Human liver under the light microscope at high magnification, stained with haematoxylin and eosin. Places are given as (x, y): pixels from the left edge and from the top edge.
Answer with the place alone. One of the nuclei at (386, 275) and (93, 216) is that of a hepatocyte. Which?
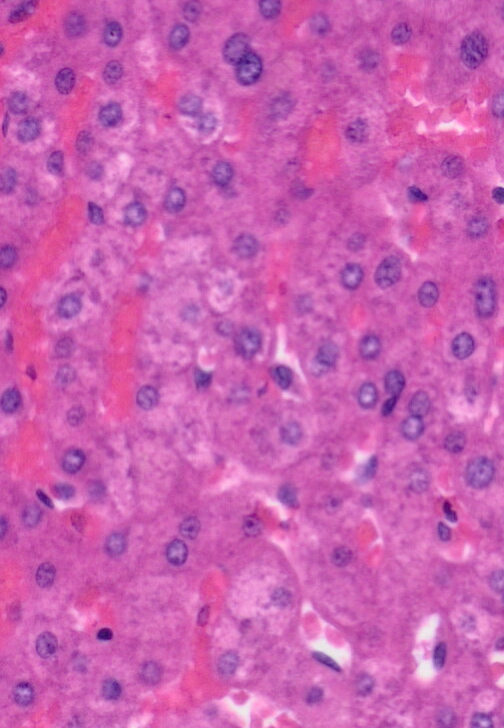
(386, 275)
